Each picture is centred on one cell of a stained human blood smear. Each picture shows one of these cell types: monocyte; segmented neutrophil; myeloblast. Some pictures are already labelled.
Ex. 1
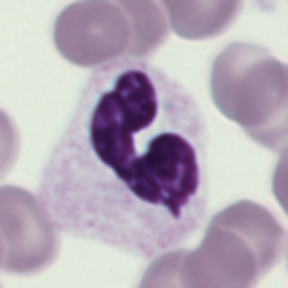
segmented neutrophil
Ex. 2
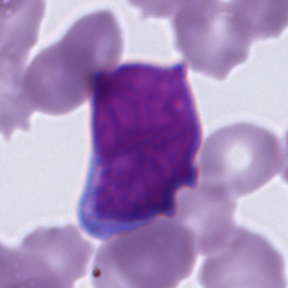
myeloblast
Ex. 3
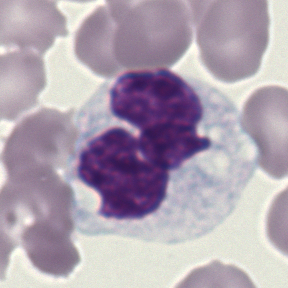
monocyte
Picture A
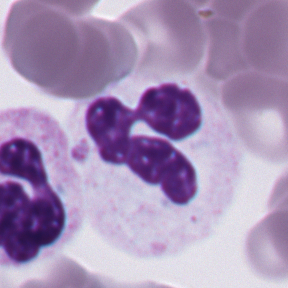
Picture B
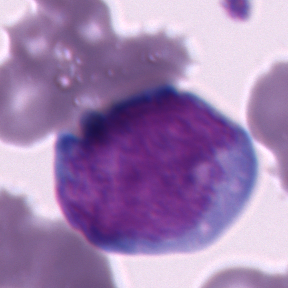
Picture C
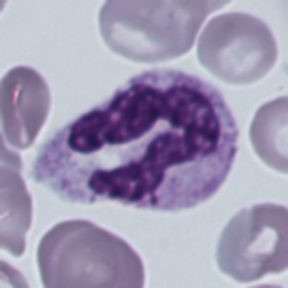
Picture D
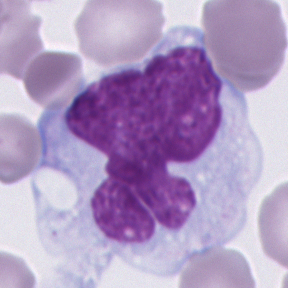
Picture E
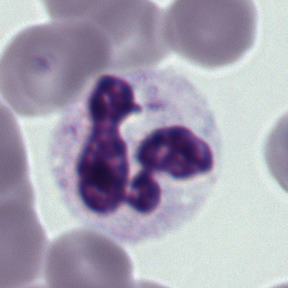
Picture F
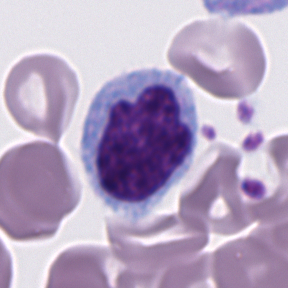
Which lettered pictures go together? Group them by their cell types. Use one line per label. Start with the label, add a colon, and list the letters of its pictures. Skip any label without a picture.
monocyte: D, F
segmented neutrophil: A, C, E
myeloblast: B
